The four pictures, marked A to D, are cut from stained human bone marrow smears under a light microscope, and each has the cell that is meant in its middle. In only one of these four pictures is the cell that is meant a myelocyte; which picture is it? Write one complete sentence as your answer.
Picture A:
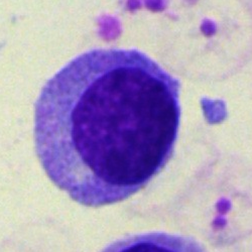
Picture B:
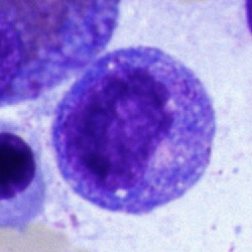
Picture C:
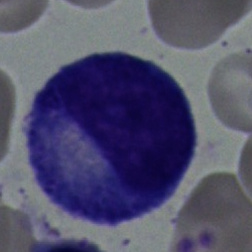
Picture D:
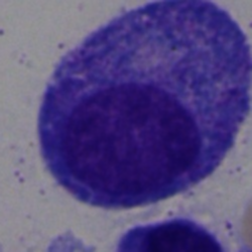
The cell in picture A is the myelocyte.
